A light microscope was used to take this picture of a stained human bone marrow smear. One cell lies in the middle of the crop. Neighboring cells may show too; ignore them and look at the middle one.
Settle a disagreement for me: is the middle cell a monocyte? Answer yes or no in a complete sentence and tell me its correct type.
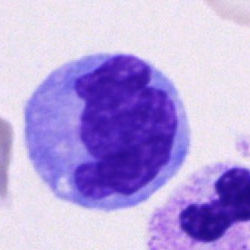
Yes, the cell of interest in the centre is a monocyte.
